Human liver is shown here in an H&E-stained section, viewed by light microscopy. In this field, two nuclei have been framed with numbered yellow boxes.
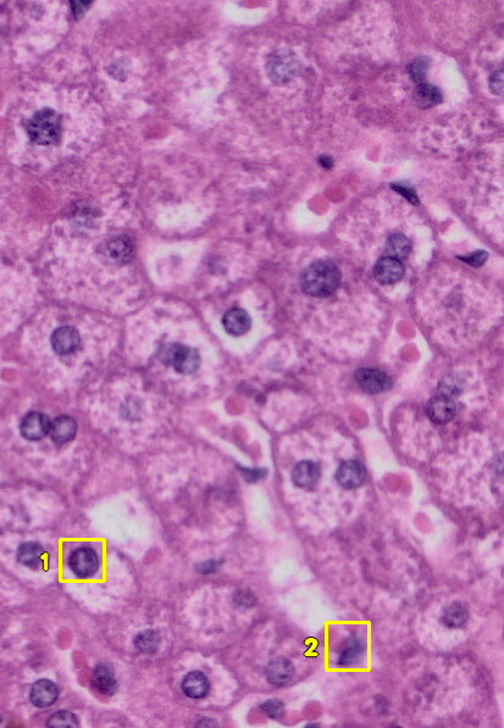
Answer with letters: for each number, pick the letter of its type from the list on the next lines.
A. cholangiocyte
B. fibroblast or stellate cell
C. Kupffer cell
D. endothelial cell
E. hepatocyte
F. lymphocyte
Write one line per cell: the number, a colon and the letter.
1: E
2: D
